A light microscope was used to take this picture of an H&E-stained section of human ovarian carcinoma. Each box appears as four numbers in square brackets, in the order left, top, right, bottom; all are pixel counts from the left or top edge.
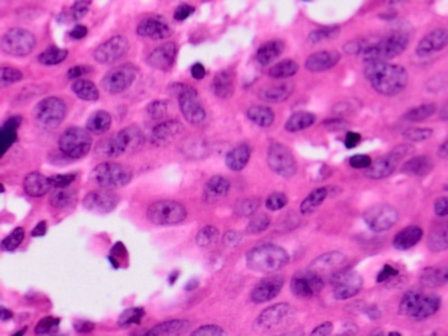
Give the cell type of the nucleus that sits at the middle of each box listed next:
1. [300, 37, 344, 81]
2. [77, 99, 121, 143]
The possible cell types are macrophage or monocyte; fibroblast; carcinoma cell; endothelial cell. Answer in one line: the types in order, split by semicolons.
carcinoma cell; macrophage or monocyte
